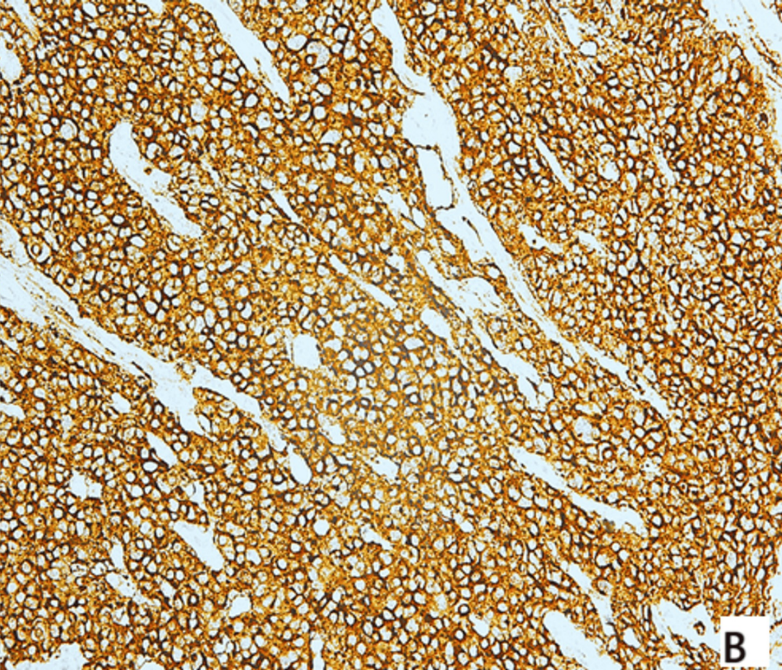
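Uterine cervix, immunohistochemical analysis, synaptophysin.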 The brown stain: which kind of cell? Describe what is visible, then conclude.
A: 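Neoplastic cells. Solid sheets of densely packed, uniform round to polygonal cells are stained brown. The stained cells fill the field in crowded groups divided by thin pale fibrous strands.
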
